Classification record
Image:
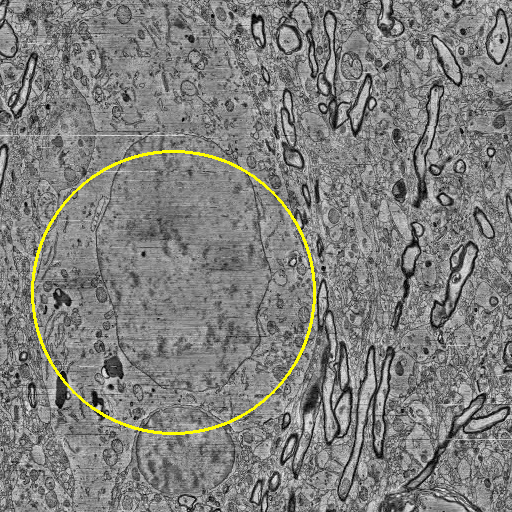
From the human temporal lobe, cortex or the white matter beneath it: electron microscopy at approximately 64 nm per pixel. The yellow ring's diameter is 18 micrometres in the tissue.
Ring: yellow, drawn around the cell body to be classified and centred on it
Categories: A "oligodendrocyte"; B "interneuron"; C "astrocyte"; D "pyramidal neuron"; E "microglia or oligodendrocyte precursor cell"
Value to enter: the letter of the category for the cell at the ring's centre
D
